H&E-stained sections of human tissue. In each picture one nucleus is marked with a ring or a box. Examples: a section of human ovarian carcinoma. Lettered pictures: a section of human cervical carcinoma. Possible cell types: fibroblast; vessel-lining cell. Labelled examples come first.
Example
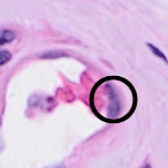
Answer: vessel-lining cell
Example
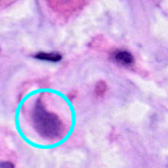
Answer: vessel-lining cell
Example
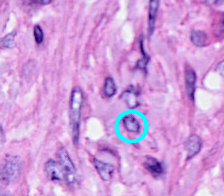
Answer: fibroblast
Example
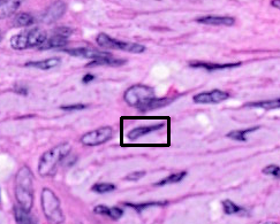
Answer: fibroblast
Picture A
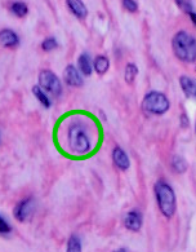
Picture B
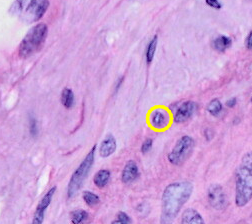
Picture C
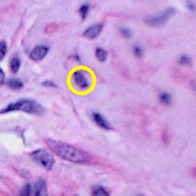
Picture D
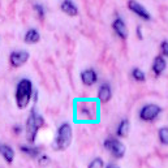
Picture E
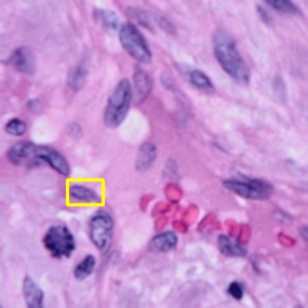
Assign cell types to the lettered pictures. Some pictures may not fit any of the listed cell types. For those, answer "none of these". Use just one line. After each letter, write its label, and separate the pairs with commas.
A none of these, B none of these, C none of these, D none of these, E vessel-lining cell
